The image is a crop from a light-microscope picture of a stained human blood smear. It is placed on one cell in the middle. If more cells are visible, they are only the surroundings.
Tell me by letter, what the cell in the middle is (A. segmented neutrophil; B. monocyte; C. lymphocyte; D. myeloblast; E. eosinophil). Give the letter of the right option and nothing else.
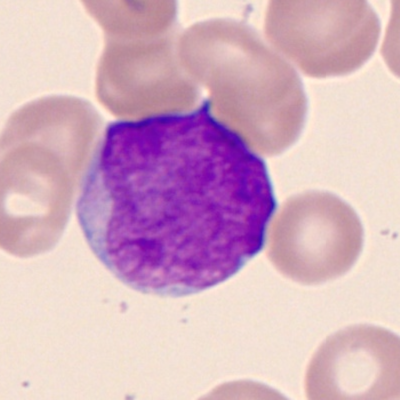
D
